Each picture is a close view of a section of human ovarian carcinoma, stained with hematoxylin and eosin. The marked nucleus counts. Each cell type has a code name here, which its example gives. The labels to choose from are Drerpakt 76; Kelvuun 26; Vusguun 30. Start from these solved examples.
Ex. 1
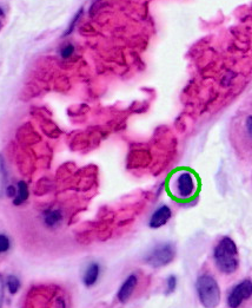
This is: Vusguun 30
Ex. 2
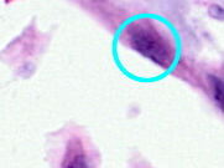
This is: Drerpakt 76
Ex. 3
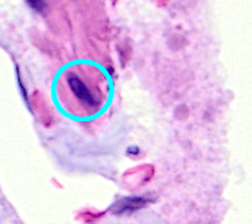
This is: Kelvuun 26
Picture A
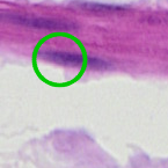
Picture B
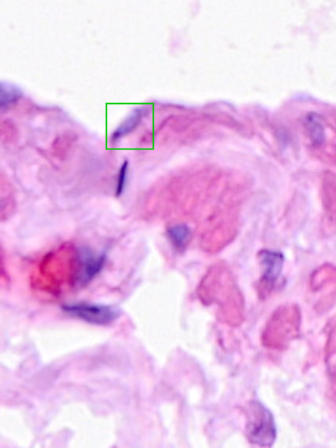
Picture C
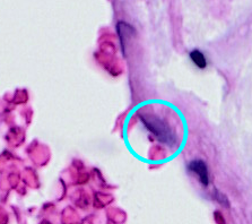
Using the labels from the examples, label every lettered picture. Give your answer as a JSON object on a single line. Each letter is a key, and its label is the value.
{"A": "Kelvuun 26", "B": "Drerpakt 76", "C": "Drerpakt 76"}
